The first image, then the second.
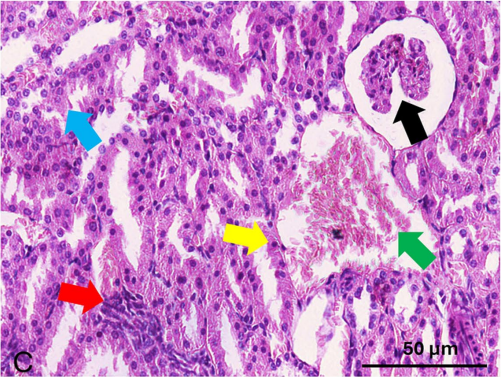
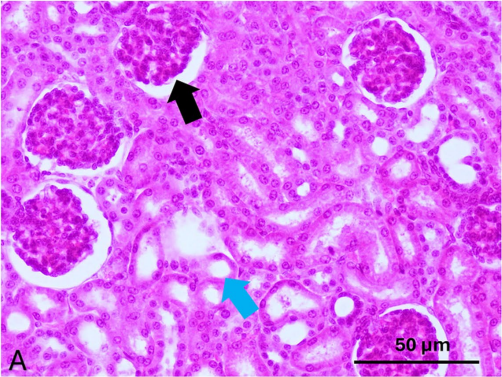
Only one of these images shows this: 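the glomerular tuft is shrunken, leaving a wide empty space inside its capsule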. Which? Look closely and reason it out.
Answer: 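The first image. First image: the glomerulus shows a small tuft separated from its capsule by a broad clear ring. Second image: the glomeruli are large, round tufts filling most of the capsule with only a narrow clear crescent.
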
